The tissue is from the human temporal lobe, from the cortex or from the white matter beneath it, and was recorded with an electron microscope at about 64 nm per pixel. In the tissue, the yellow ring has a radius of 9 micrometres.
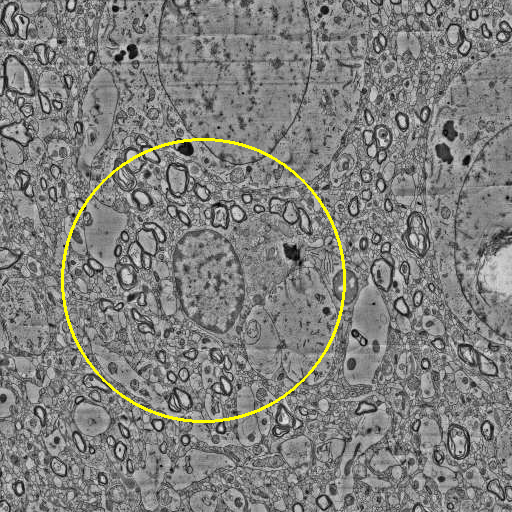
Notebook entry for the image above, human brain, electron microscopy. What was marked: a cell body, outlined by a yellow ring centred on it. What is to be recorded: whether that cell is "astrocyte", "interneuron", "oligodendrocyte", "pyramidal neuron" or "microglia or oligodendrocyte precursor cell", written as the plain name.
oligodendrocyte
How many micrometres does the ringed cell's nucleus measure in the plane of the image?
In this plane the nucleus measures roughly 7 by 5 micrometers.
